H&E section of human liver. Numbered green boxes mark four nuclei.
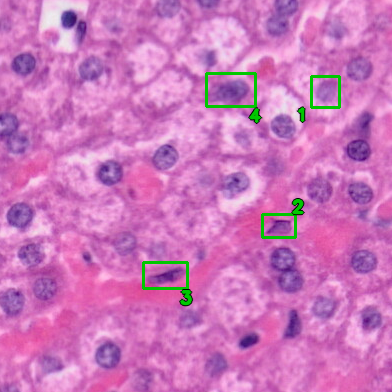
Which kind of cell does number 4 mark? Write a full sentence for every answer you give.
Number 4 among the marked cells is an endothelial cell.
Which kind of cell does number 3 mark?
The mark numbered 3 indicates the nucleus of a Kupffer cell.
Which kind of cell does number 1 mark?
The expected answer is that cell 1 is a hepatocyte.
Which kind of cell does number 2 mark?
The numbered cell 2 in this field is an endothelial cell.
